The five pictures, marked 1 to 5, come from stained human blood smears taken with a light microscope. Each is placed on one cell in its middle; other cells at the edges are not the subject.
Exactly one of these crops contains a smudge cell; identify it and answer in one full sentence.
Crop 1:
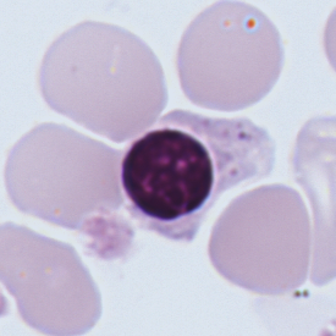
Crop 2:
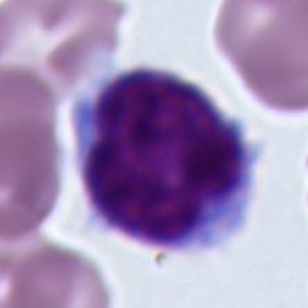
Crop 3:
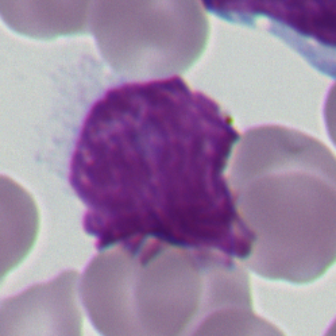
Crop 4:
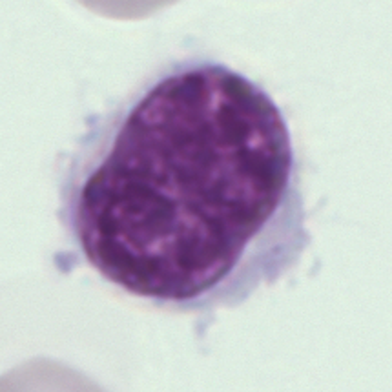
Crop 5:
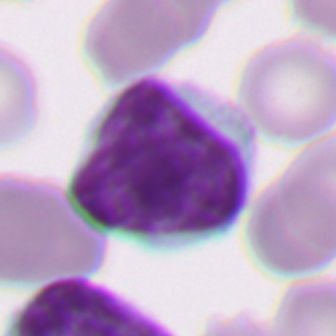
Here the crop that shows a smudge cell is crop 3.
